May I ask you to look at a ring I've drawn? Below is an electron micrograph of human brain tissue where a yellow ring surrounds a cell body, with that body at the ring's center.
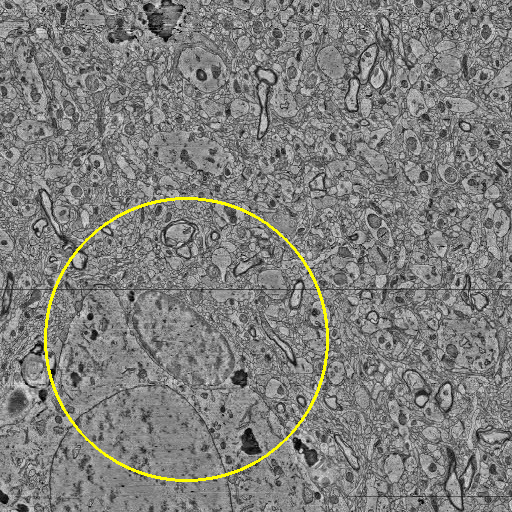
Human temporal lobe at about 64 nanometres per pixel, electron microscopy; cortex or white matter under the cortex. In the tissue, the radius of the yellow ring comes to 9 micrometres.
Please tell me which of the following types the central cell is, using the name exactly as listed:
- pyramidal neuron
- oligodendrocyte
oligodendrocyte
